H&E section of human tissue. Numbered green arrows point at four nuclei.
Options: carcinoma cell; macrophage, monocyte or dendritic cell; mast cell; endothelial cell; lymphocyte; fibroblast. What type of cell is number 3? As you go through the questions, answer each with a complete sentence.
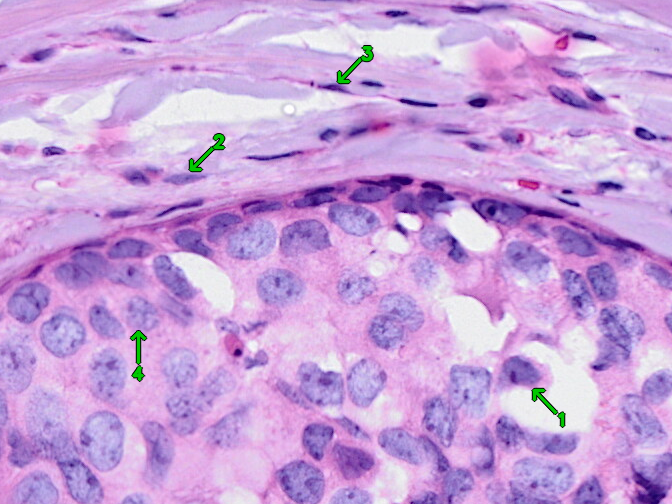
The nucleus labeled 3 belongs to a fibroblast.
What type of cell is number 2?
The cell that is numbered 2 is a fibroblast.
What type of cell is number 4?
The marked cell with the number 4 is recognised as a carcinoma cell.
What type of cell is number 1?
The nucleus with number 1 is that of a carcinoma cell.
